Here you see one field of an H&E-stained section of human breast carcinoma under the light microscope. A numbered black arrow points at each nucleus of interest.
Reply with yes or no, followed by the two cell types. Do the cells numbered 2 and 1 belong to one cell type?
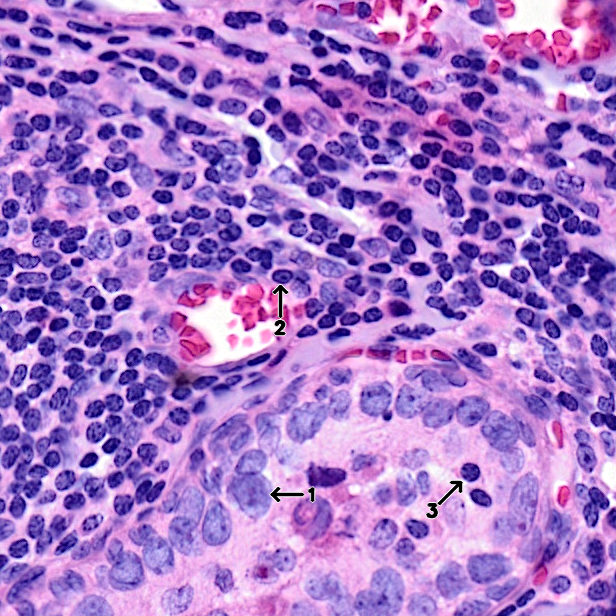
No, cell 2 is recognized as a lymphocyte, and cell 1 as a carcinoma cell.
